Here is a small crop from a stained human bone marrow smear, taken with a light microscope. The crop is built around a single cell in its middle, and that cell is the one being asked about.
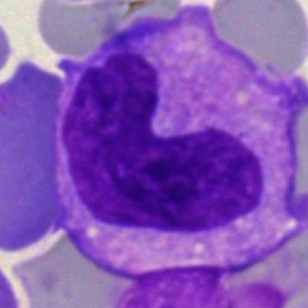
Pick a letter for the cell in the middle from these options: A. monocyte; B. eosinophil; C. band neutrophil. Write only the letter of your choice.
A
